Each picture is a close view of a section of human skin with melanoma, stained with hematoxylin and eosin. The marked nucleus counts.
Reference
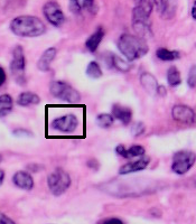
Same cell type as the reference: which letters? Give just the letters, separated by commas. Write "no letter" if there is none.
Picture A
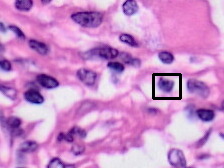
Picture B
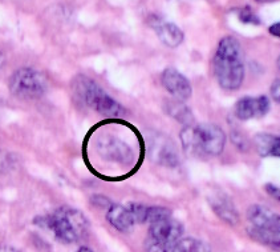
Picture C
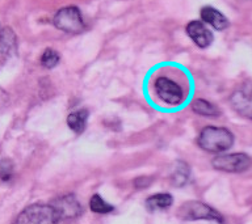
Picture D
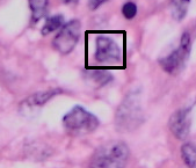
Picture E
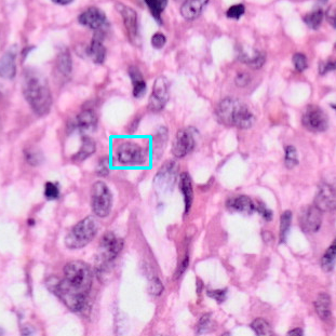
A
